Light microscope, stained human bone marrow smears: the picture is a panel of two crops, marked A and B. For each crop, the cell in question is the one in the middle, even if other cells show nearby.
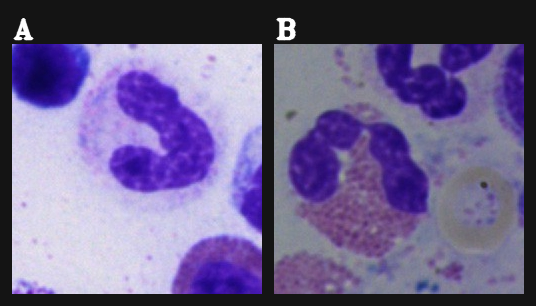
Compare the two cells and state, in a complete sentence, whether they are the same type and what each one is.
No, it is crop A that shows a band neutrophil, and crop B shows an eosinophil.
